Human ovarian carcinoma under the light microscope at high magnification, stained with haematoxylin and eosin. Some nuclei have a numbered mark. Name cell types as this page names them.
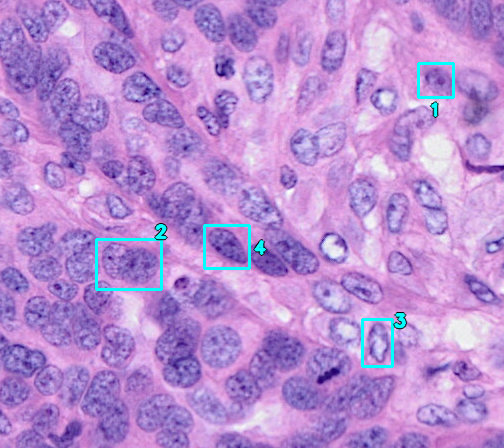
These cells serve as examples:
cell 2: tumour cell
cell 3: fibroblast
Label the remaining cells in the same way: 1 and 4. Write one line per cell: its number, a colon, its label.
1: fibroblast
4: tumour cell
